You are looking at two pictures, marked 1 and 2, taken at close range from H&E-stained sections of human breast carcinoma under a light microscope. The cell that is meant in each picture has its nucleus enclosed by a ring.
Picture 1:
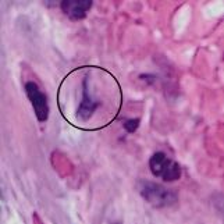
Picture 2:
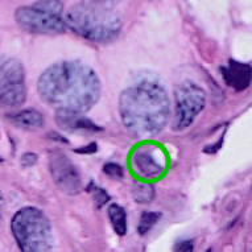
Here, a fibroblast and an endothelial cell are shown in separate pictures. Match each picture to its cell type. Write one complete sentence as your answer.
The cell in picture 1 is a fibroblast, and the one in picture 2 is an endothelial cell.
